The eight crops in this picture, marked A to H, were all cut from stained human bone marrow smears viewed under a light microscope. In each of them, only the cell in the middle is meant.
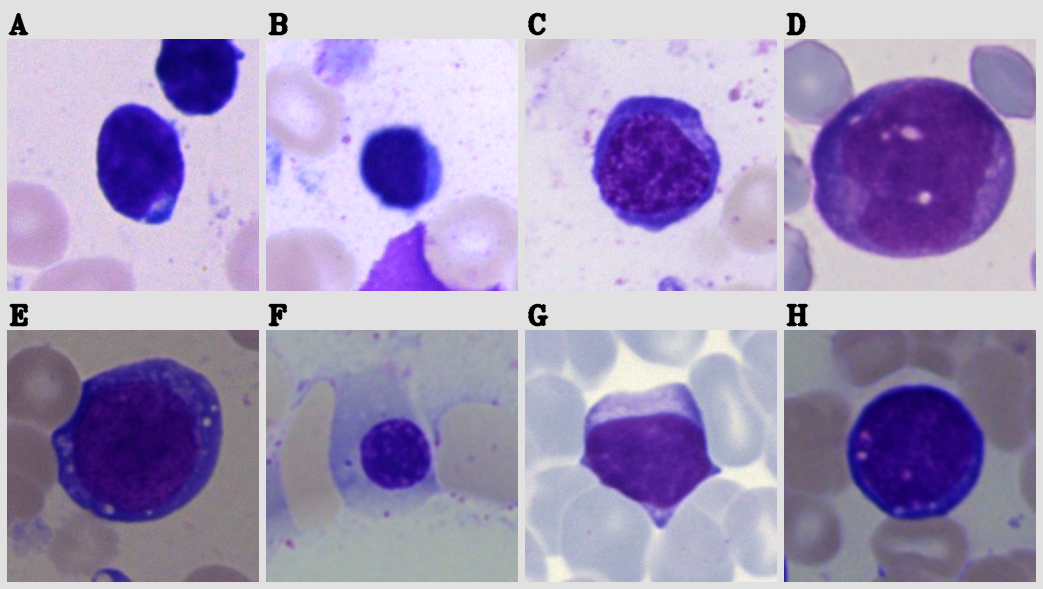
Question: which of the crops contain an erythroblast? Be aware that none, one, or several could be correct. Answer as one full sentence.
In crops C and F, the centrally located cells represent erythroblasts.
